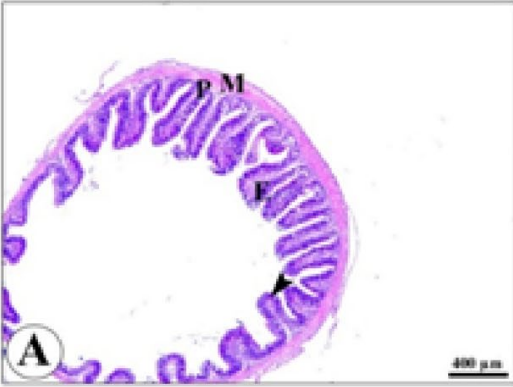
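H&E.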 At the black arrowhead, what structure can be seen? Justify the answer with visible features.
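Finger-like folds of the mucosa project from the wall into the open lumen. The folds are covered by a deep purple cell layer over a paler core.
Hence: intestinal villi.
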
